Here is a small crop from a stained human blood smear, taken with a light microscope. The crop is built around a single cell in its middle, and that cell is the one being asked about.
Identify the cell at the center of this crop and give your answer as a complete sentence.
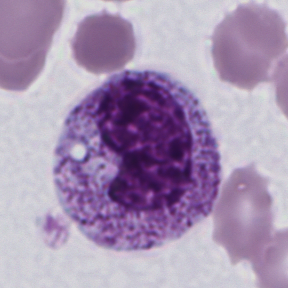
The single cell at the center of the crop is a metamyelocyte.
